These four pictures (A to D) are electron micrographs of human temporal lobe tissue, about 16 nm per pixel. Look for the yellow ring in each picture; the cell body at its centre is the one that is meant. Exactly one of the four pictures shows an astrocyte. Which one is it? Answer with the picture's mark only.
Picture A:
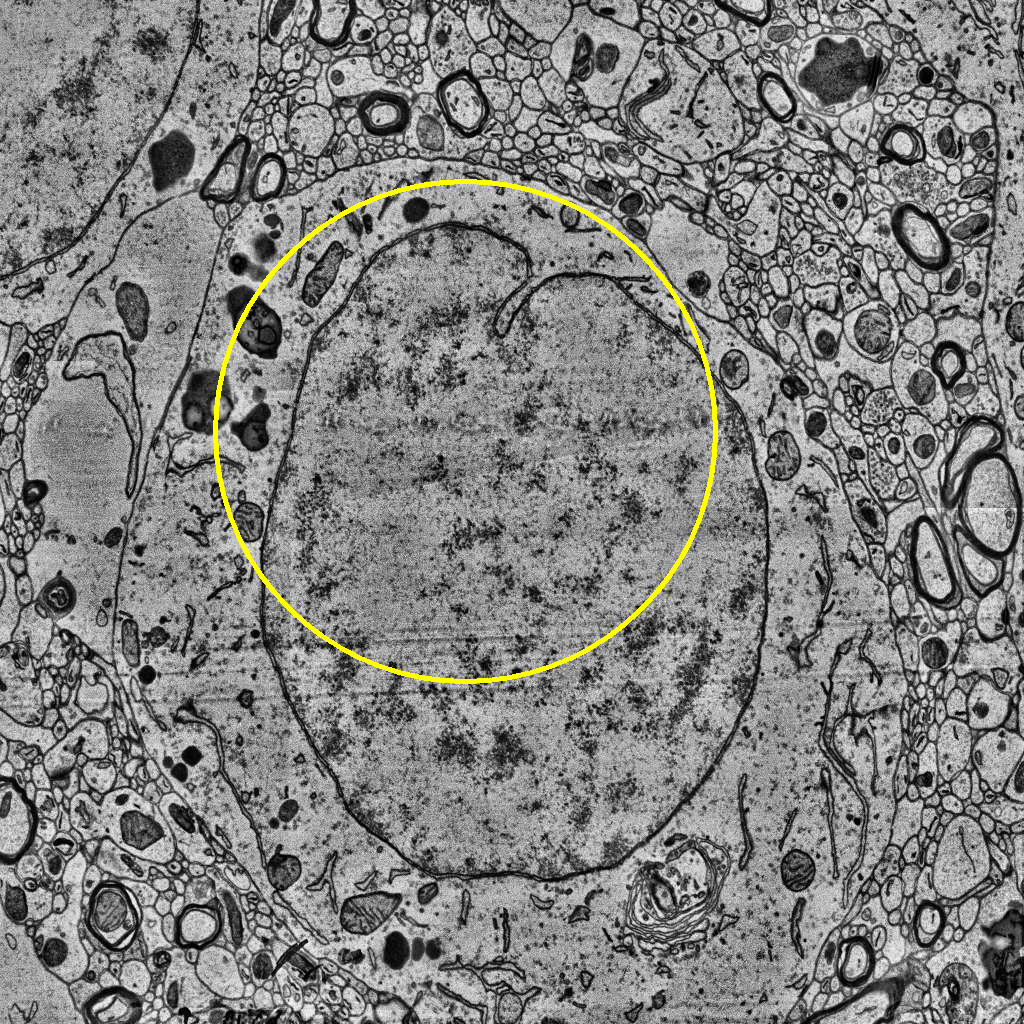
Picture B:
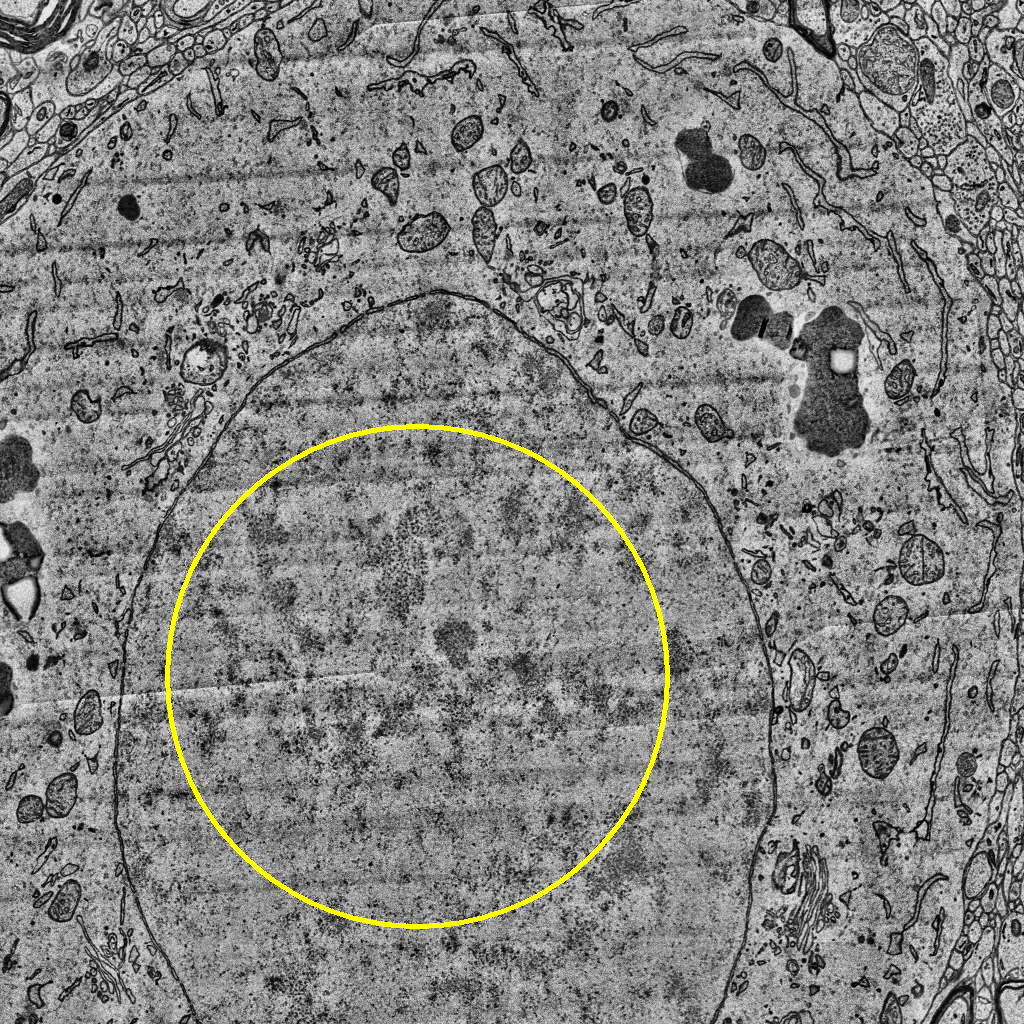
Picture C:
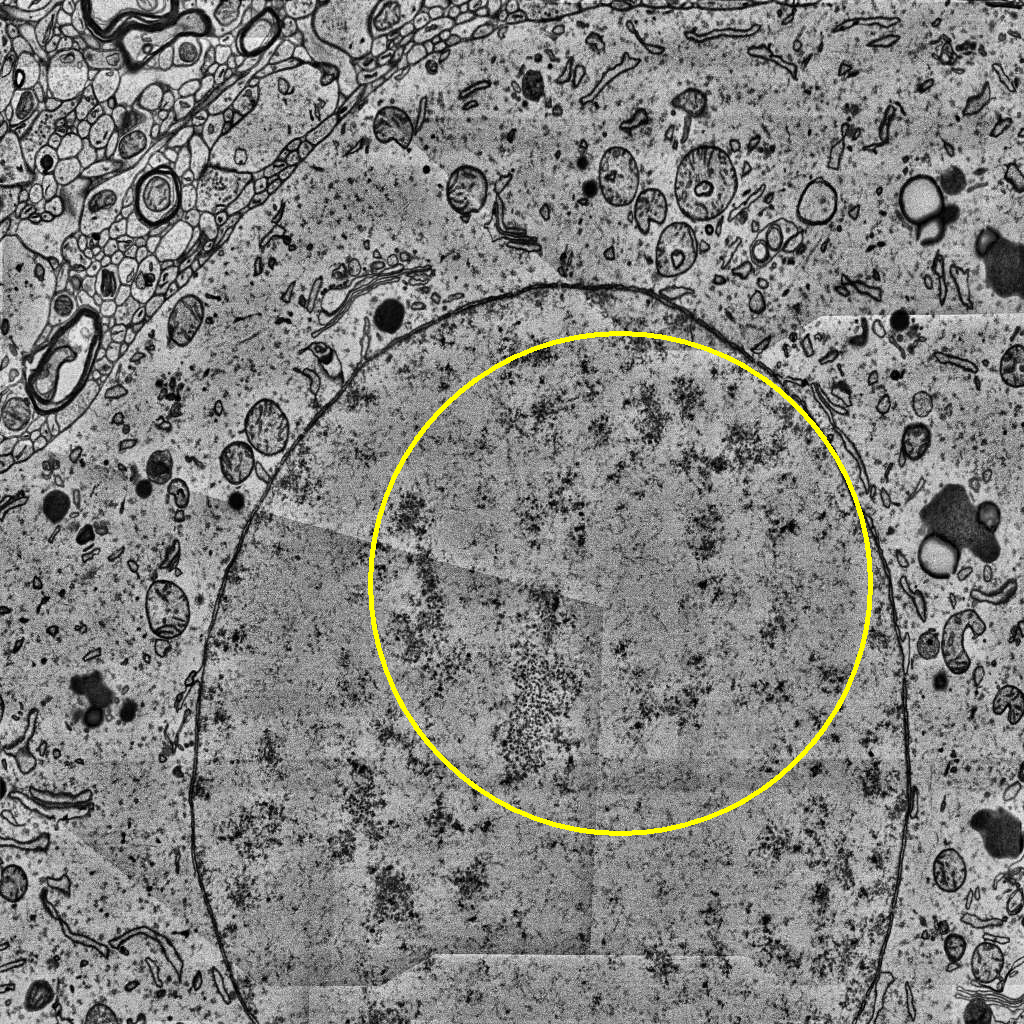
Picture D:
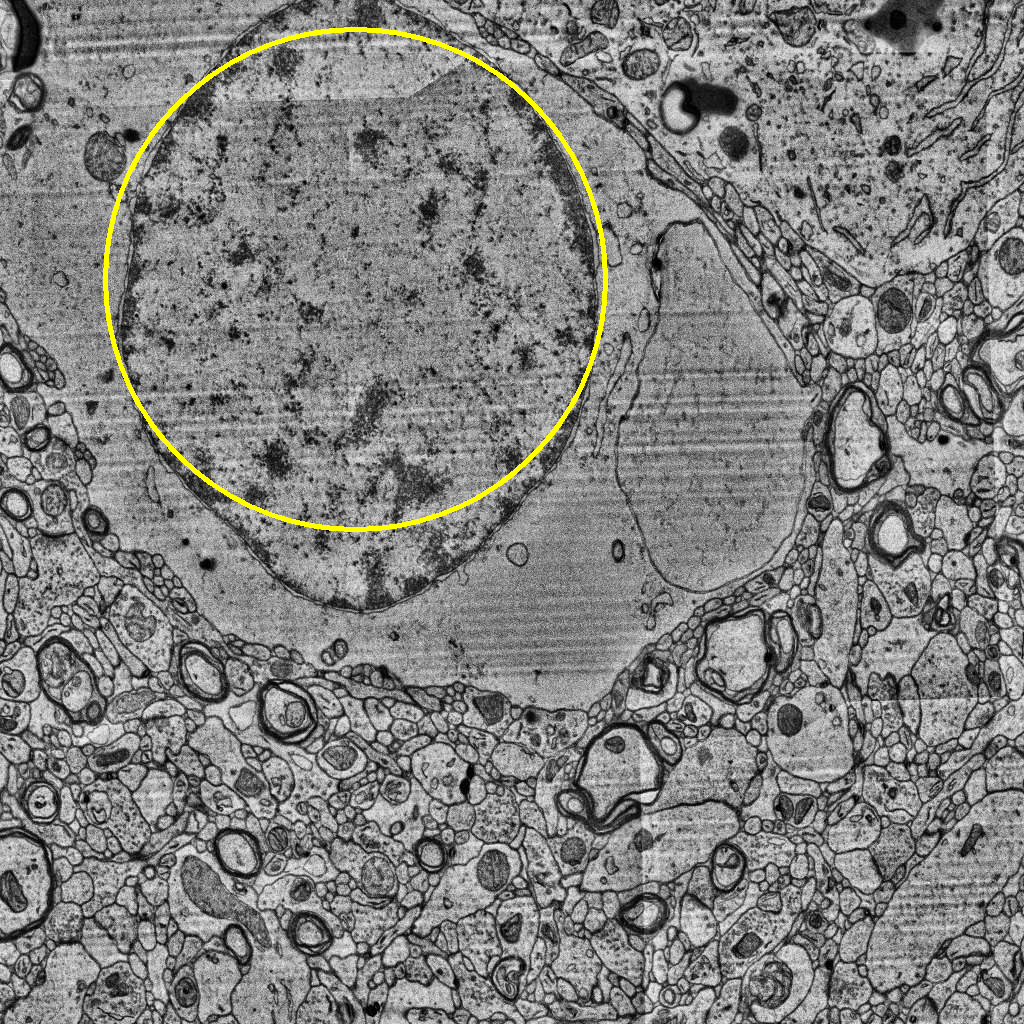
D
